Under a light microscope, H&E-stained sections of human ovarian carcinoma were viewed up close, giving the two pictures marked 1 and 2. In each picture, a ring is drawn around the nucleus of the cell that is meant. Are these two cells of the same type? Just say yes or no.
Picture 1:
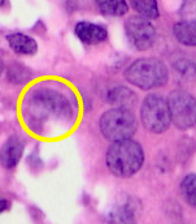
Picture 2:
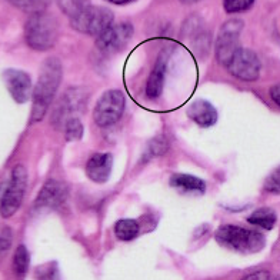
yes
